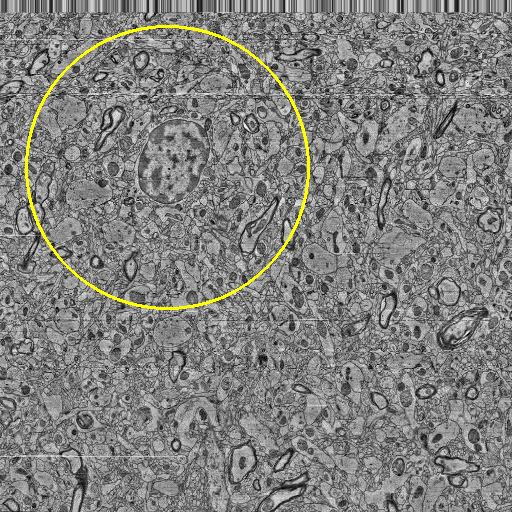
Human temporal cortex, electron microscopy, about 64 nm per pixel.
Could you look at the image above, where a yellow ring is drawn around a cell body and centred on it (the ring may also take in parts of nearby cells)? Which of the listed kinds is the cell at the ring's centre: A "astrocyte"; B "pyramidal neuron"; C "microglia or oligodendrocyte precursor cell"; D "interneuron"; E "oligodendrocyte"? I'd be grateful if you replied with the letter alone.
C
